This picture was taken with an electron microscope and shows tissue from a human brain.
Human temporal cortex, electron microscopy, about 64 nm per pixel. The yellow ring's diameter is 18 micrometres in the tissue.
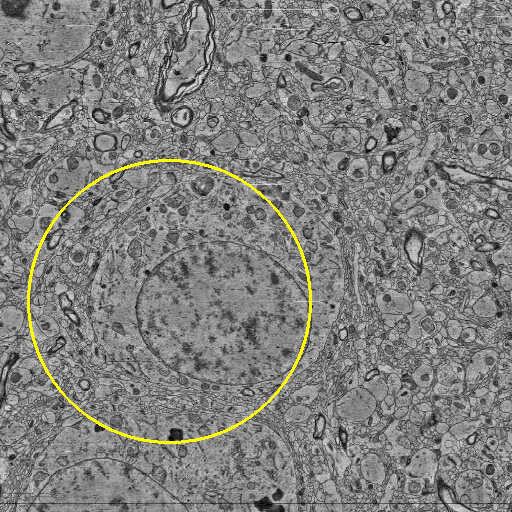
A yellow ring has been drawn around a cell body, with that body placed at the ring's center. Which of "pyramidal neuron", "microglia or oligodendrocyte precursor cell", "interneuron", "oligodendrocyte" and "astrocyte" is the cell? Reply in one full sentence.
In this picture, an interneuron is the cell at the center of the yellow ring.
